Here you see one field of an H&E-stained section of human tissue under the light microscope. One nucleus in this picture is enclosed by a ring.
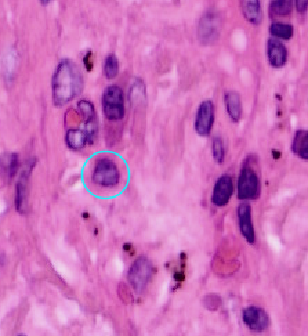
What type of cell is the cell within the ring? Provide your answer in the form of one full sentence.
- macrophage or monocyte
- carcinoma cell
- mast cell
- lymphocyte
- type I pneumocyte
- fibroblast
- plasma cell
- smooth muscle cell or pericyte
In this tissue sample, the cell within the ring is a mast cell.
